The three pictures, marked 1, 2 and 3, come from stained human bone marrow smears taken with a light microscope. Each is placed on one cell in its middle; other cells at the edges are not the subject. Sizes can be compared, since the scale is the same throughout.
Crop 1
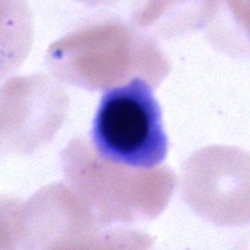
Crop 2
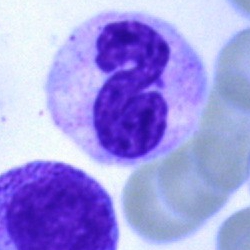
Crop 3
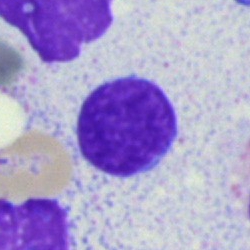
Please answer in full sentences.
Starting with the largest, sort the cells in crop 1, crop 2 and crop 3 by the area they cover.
From the largest down, the order is 2, 3, 1.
